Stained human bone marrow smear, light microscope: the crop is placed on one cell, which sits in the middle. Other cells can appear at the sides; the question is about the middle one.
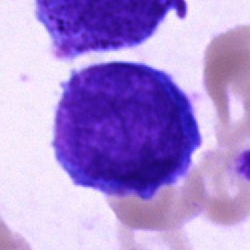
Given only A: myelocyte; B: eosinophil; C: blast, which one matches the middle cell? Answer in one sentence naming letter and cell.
The cell at the centre is a blast, and option C accordingly is correct.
